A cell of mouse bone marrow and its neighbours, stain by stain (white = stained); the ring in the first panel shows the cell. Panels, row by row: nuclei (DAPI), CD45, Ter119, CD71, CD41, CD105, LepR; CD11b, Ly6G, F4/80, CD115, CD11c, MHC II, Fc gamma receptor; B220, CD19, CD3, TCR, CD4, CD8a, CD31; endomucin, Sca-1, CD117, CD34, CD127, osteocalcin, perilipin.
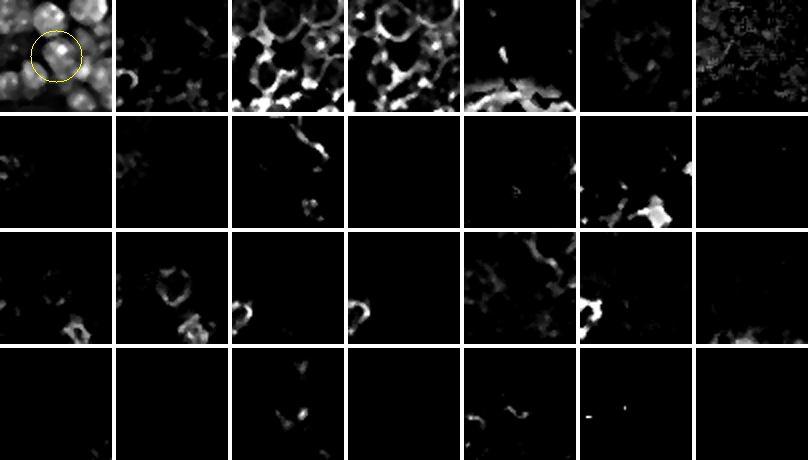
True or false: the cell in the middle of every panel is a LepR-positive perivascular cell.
False; it is an erythroblast.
